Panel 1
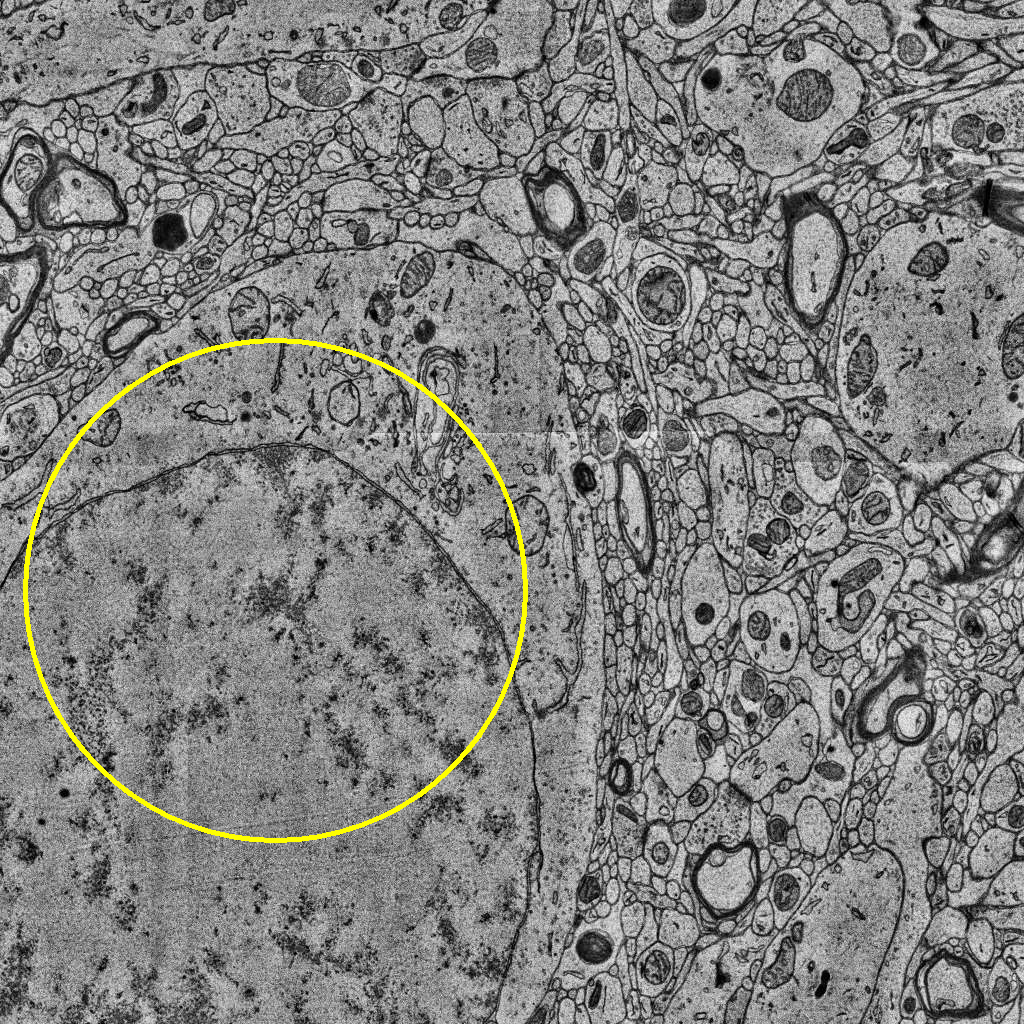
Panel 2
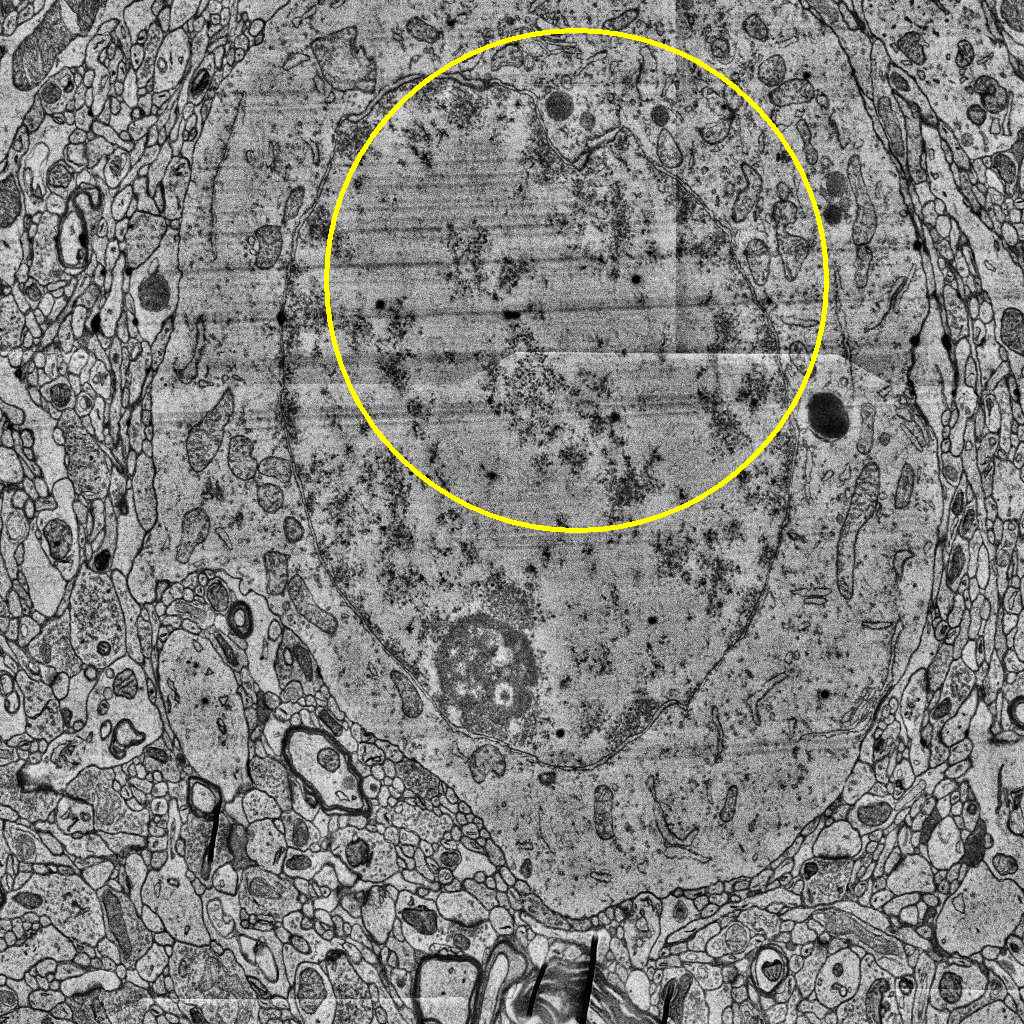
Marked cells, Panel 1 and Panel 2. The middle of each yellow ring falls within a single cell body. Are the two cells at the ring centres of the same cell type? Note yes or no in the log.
no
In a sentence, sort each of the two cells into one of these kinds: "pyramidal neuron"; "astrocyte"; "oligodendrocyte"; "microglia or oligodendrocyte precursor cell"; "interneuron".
In the first picture we have a pyramidal neuron, and in the second, an interneuron.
